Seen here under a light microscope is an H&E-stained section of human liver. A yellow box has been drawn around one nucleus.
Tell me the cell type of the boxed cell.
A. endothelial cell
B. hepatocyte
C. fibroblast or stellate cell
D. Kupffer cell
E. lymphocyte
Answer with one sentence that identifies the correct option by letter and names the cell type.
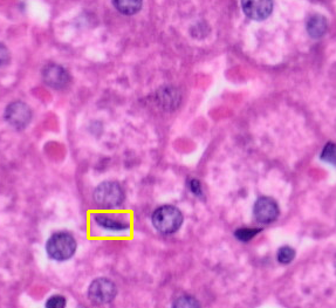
The correct identification, the boxed cell as an endothelial cell, is given by option A.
